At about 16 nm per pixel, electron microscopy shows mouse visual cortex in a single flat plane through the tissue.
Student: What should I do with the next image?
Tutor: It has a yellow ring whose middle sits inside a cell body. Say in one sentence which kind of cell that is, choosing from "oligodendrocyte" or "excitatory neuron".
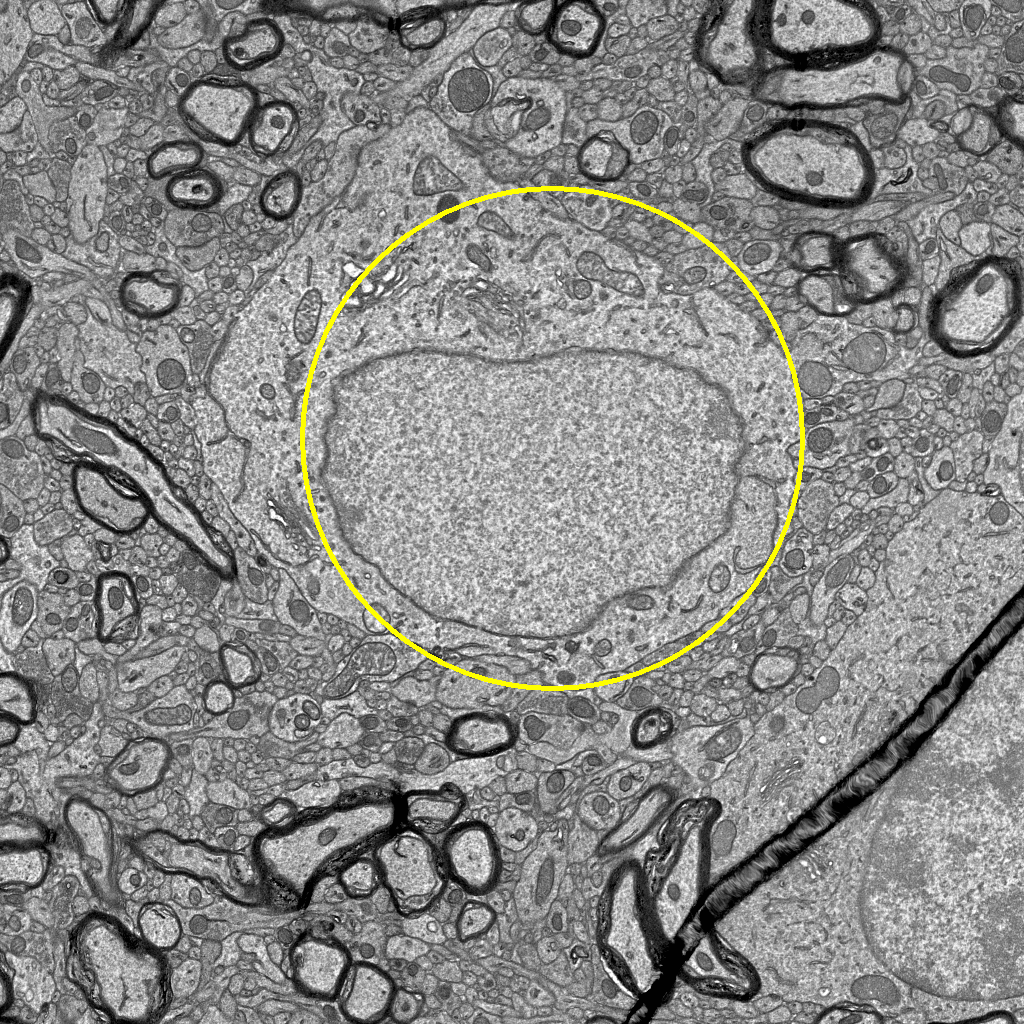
The ring's centre is occupied by an excitatory neuron.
